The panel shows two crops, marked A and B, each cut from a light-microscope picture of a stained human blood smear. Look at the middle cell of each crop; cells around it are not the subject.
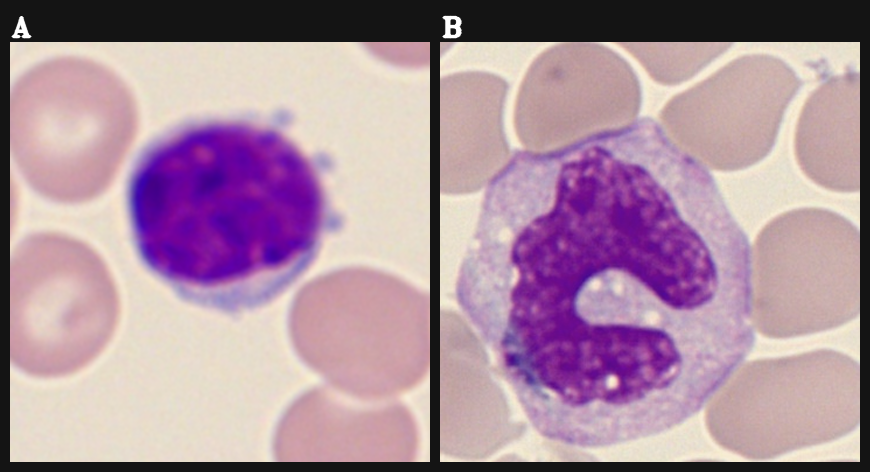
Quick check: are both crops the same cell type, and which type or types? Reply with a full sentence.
No, it is crop A that shows a lymphocyte, and crop B shows a monocyte.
